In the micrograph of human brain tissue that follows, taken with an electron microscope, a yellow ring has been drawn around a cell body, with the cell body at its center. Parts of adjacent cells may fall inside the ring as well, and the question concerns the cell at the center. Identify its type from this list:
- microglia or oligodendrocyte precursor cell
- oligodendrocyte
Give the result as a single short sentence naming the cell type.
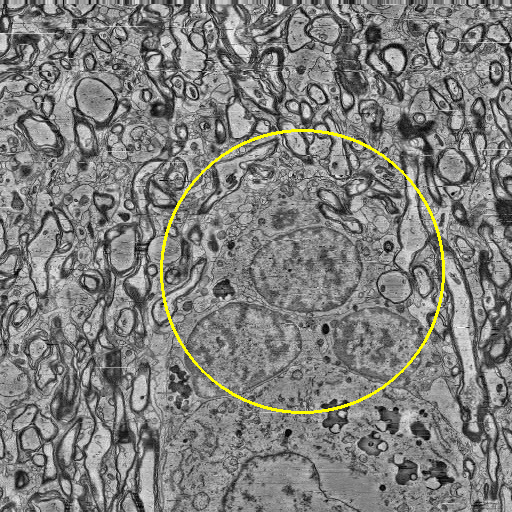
The ring is centered on an oligodendrocyte.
